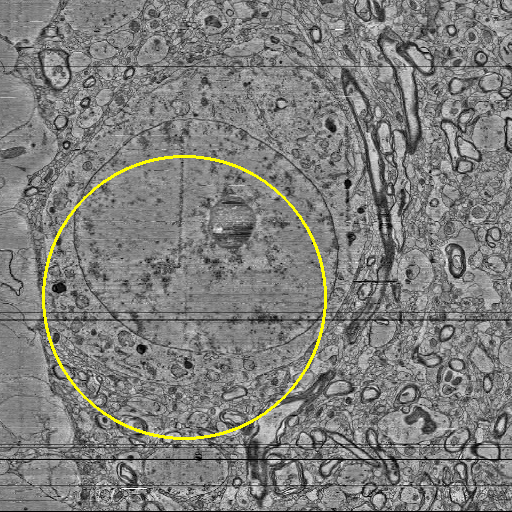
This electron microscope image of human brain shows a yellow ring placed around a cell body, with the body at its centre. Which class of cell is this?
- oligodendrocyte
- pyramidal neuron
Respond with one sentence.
The cell body at the ring's centre is a pyramidal neuron.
